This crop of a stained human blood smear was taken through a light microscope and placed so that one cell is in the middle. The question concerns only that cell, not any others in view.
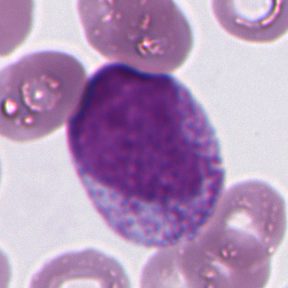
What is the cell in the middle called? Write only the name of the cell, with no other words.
myelocyte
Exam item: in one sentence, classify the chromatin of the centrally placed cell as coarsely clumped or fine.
Its chromatin is finely dispersed rather than coarsely clumped.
